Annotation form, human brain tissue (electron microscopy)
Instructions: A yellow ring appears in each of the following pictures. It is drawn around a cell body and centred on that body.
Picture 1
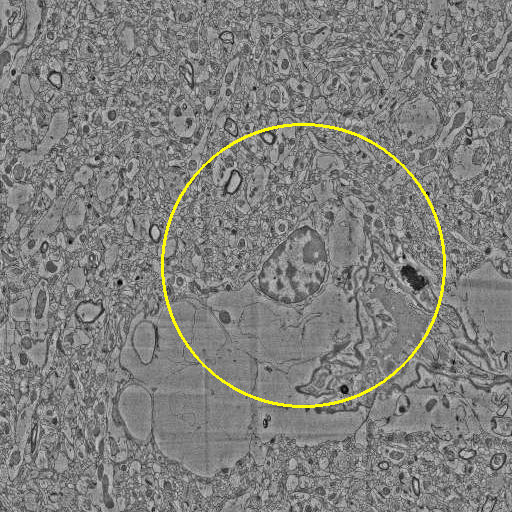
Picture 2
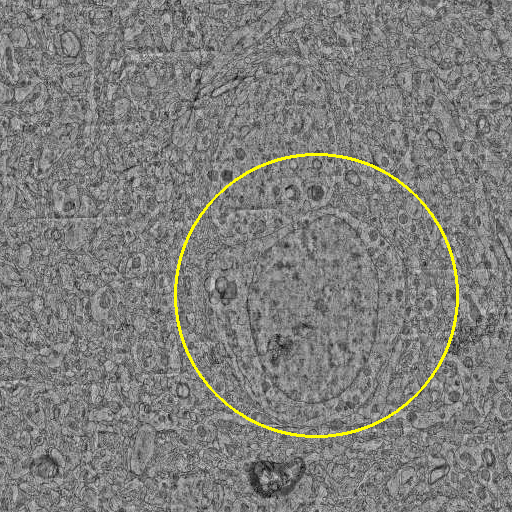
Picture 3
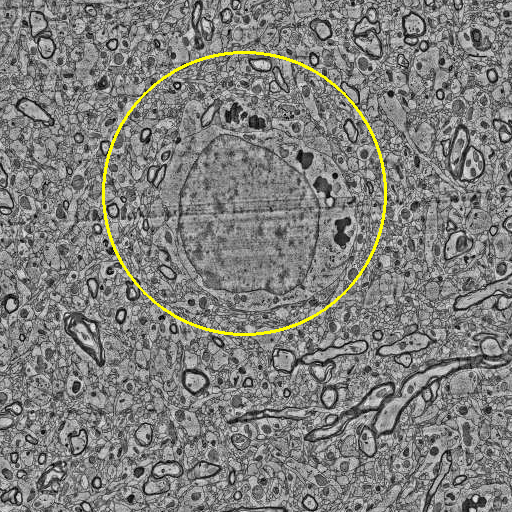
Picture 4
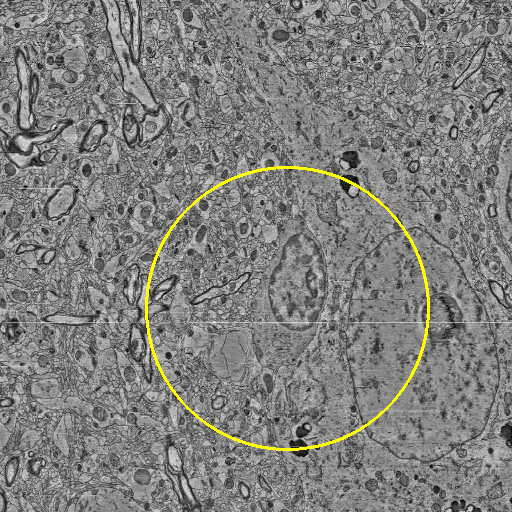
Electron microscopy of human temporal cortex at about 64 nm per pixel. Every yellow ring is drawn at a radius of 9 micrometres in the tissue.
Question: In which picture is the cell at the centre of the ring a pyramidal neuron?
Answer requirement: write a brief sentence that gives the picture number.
The cell at the centre of the ring in Picture 2 is the one asked for.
